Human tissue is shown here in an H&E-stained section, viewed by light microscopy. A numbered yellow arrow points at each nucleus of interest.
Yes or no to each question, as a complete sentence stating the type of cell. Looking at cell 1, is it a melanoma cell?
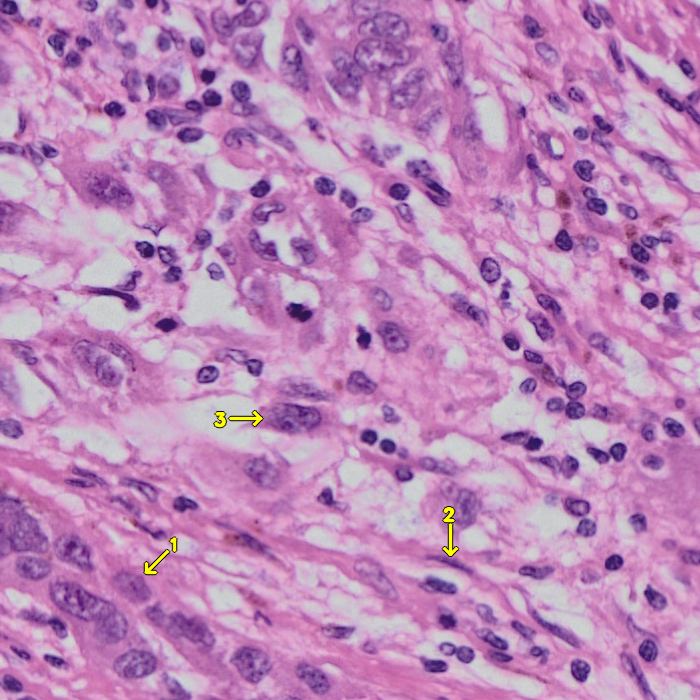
Yes, that one, number 1, is a melanoma cell.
